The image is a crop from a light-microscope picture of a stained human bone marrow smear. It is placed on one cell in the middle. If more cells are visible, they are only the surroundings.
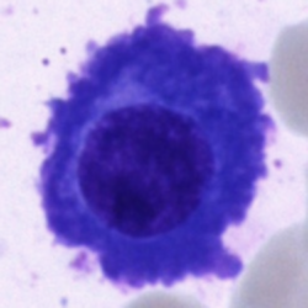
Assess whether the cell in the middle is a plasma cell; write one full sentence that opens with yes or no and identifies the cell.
Yes, the cell shown centrally is a plasma cell.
